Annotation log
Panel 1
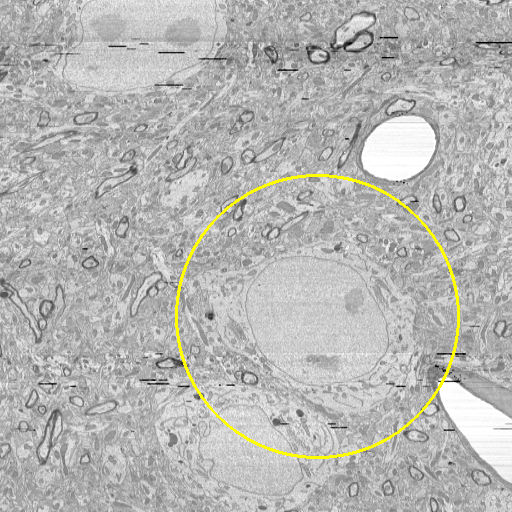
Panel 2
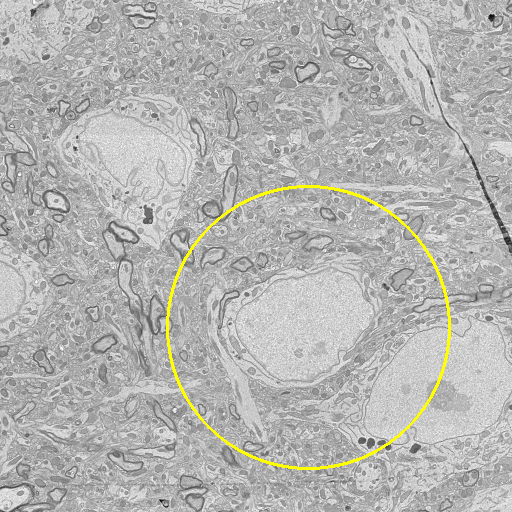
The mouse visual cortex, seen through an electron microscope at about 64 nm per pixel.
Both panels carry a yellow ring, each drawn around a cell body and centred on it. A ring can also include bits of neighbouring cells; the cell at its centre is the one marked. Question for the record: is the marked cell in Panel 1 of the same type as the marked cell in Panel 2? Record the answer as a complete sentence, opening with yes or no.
Yes, the marked cells in Panel 1 and Panel 2 are of the same type.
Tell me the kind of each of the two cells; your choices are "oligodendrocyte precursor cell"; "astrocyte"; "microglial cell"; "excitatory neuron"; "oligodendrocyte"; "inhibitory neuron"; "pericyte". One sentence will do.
In each picture the ringed cell is an excitatory neuron.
